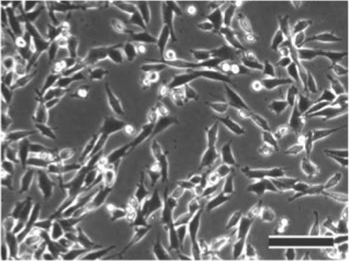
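Cultured cells seen by phase contrast have a fibroblastic form: most are elongated and spindle-shaped with thin tapering processes, lying loosely scattered or in a loose network rather than in compact clusters. Small rounded, bright refractile cells are interspersed among them.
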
